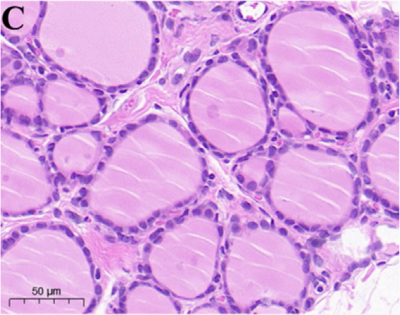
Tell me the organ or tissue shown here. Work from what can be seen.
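Thyroid glands. A single layer of low epithelial cells lines each follicle. Thin septa separate the follicles.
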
